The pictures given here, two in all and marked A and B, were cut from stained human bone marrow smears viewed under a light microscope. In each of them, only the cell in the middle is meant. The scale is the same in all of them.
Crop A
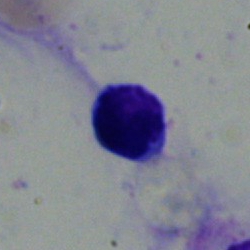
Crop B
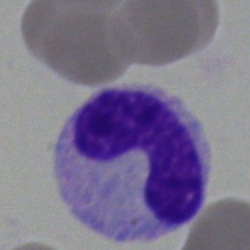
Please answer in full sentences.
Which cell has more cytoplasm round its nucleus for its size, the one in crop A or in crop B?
The nucleus fills less of the cell in crop B than in crop A.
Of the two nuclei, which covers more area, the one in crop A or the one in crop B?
The nucleus in crop B is larger, with about 2.5 times the area of the one in crop A.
